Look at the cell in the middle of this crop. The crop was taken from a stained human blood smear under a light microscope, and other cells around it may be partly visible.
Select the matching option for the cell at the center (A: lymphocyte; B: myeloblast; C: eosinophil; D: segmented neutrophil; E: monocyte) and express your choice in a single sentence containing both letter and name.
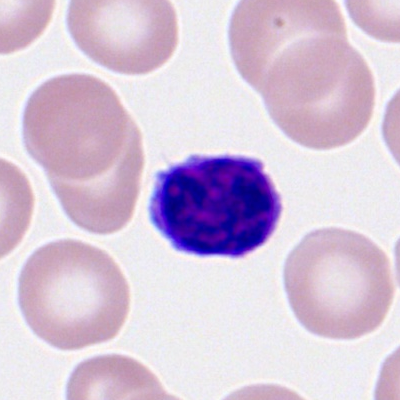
Here the central cell is a lymphocyte, and option A is correct.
